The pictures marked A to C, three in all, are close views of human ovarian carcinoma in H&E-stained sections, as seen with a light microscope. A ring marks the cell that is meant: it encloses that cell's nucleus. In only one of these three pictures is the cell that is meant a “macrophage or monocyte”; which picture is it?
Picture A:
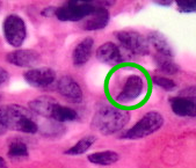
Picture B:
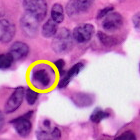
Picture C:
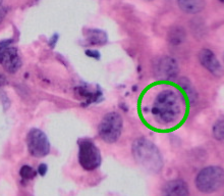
C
